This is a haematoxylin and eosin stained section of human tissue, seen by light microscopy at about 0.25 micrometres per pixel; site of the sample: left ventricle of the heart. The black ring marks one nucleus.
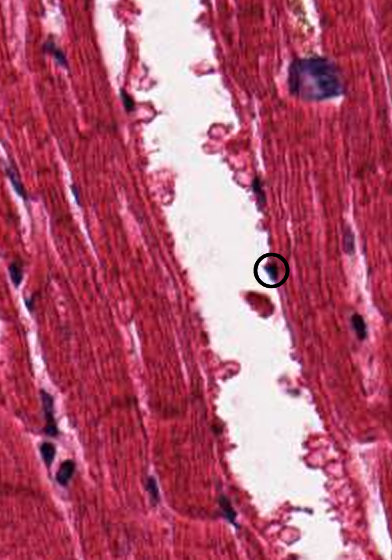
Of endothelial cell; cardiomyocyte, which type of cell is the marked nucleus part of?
endothelial cell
